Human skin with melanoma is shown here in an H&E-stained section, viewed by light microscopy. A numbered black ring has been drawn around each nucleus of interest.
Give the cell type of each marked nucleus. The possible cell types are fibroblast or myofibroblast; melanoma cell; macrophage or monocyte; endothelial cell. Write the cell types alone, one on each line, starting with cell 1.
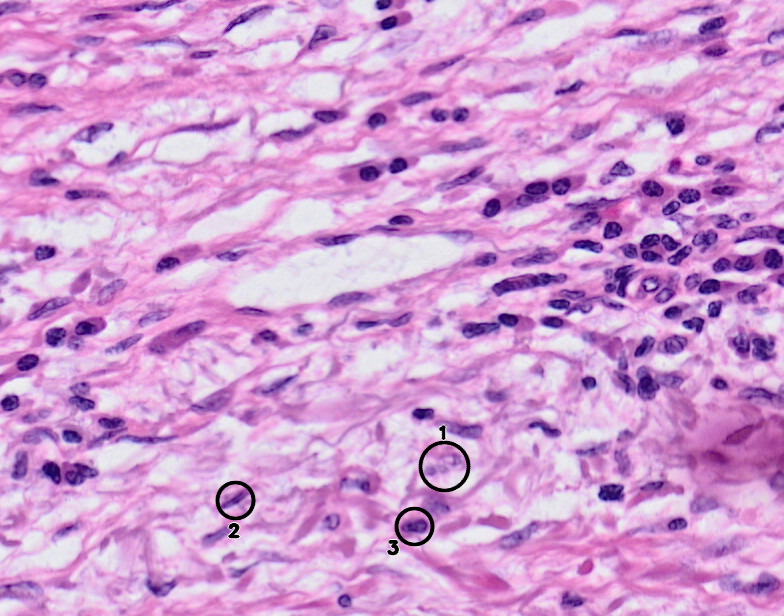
fibroblast or myofibroblast
fibroblast or myofibroblast
macrophage or monocyte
